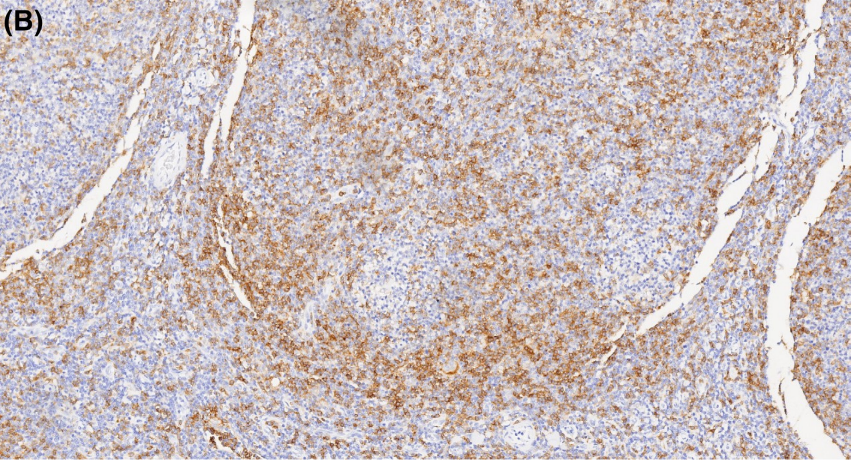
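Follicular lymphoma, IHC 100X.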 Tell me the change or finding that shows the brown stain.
Intrafollicular pattern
